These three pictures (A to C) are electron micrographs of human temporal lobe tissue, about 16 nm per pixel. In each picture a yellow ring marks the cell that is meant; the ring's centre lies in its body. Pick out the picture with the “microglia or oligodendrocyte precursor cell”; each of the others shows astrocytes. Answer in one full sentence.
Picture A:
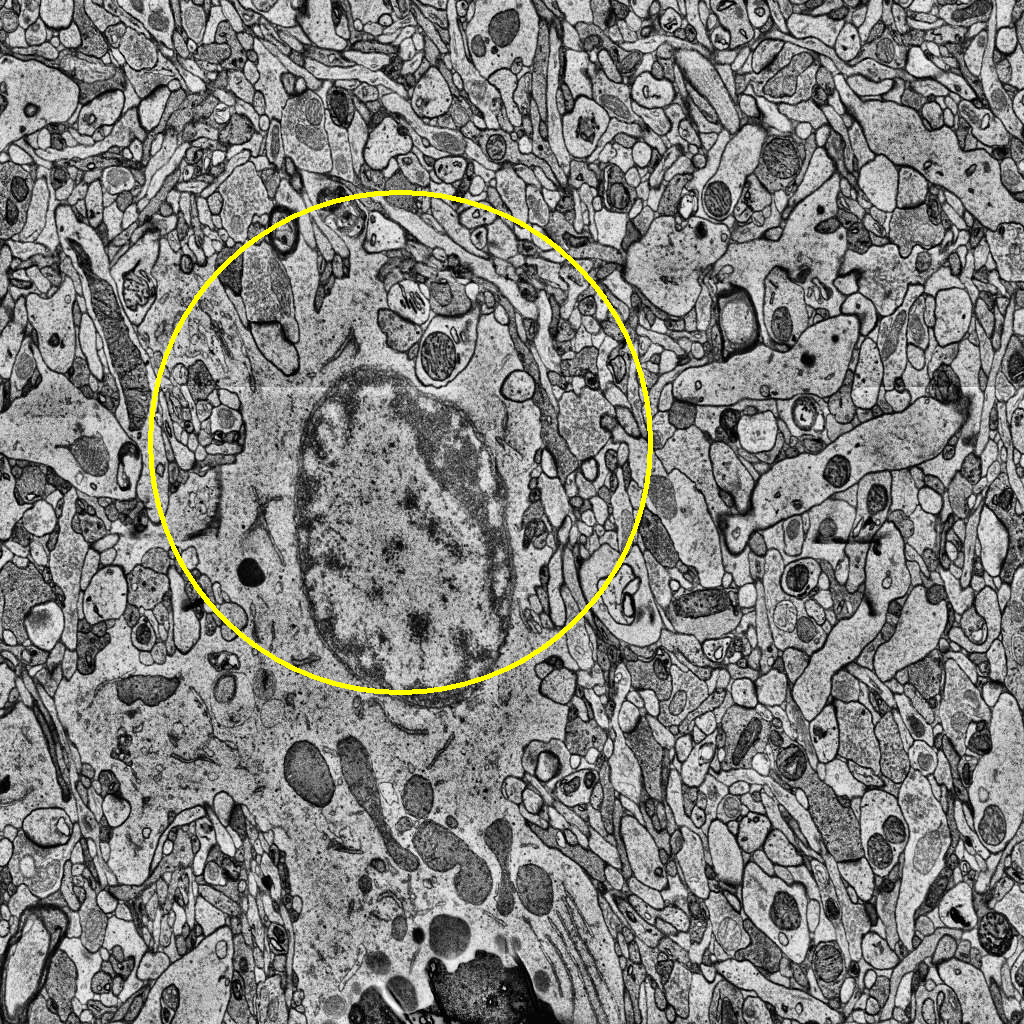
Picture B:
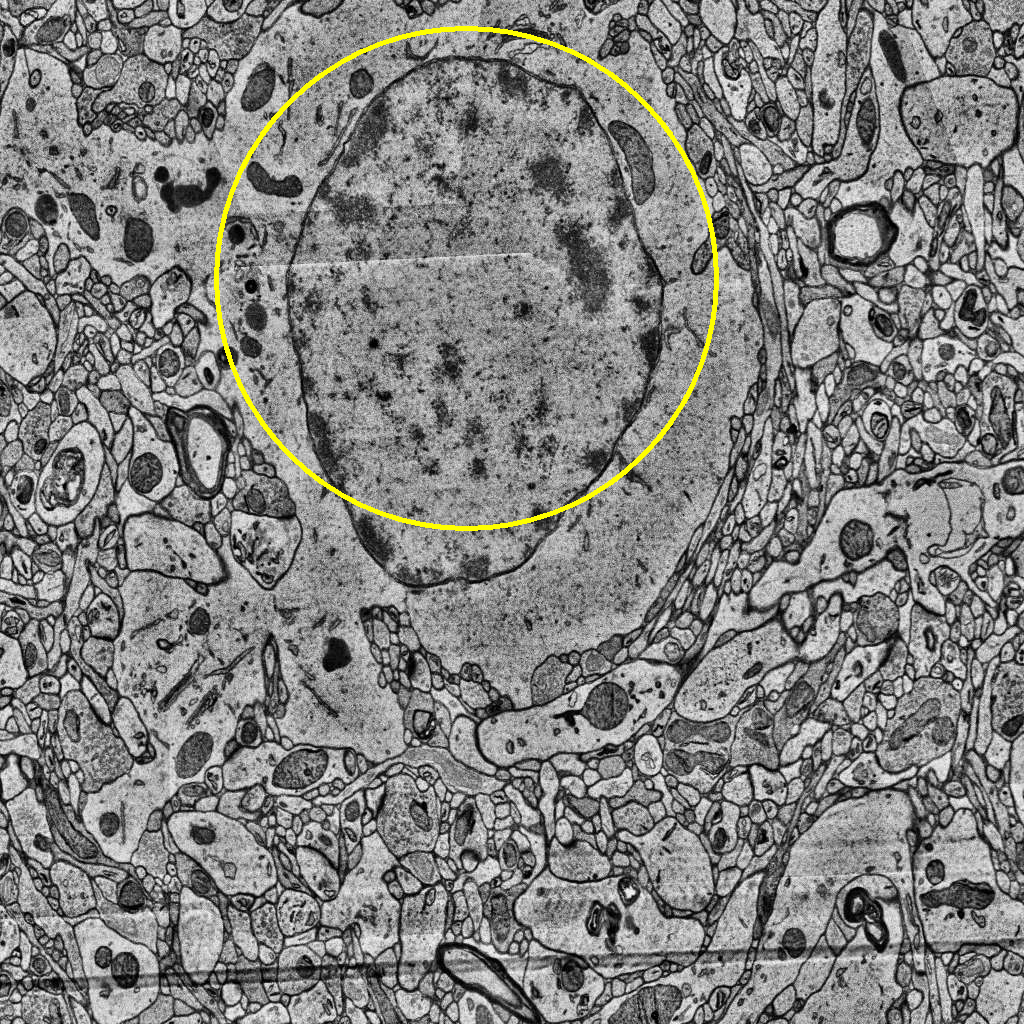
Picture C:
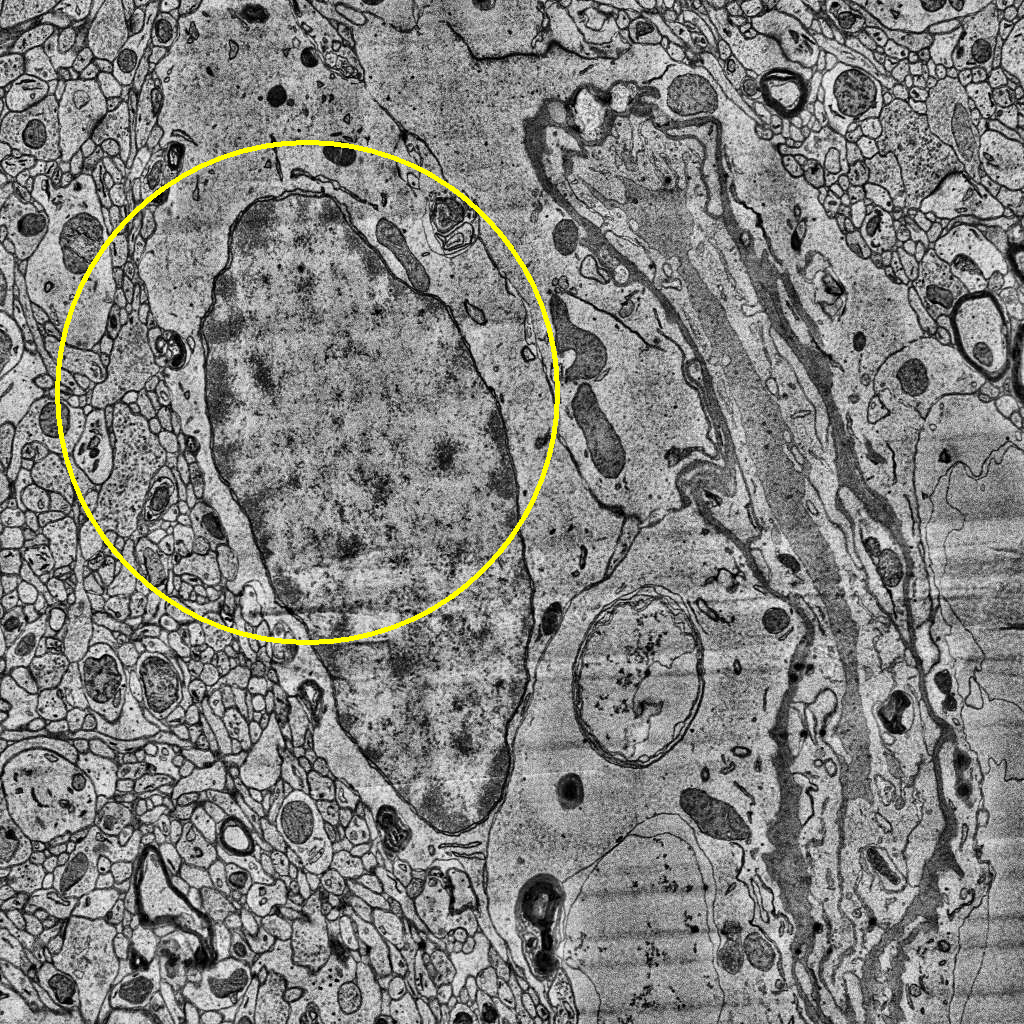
The “microglia or oligodendrocyte precursor cell” is the one in picture C.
